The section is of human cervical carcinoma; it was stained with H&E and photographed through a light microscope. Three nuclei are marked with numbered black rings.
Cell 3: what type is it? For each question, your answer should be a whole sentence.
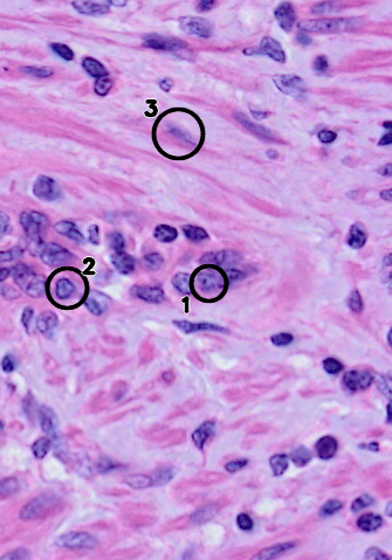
The mark numbered 3 indicates the nucleus of a smooth muscle cell.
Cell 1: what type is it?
The cell given label 1 is an endothelial cell.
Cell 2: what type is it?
The mark numbered 2 indicates the nucleus of an endothelial cell.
